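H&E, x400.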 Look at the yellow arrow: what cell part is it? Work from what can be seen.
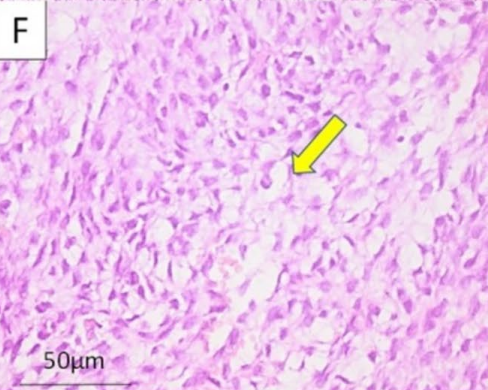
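Ovoid to spindled nuclei in a pale background.
Conclusion: vacuolated cytoplasm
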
